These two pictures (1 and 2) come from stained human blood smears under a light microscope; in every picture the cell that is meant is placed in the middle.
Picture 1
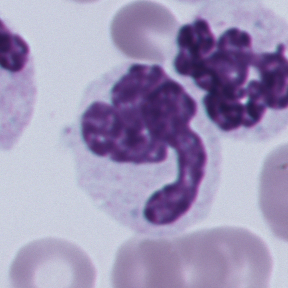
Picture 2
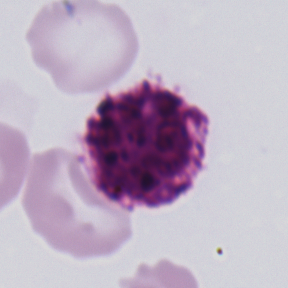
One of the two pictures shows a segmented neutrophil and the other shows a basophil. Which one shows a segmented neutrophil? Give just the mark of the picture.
1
